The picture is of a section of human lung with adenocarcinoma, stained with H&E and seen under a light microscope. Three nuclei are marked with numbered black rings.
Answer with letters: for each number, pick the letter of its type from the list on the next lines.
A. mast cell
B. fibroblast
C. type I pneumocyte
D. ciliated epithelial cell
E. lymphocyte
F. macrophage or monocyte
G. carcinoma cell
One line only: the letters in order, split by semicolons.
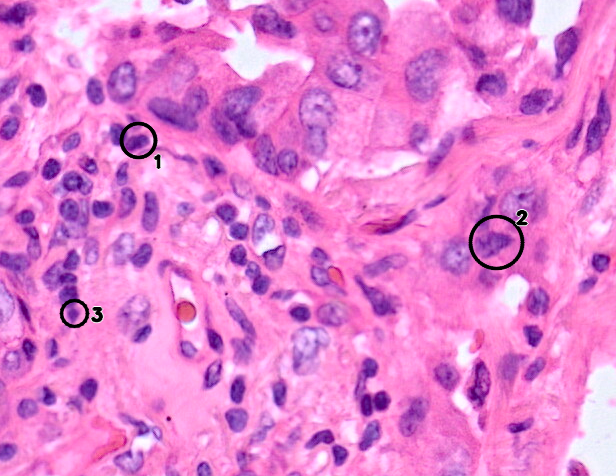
E; G; E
